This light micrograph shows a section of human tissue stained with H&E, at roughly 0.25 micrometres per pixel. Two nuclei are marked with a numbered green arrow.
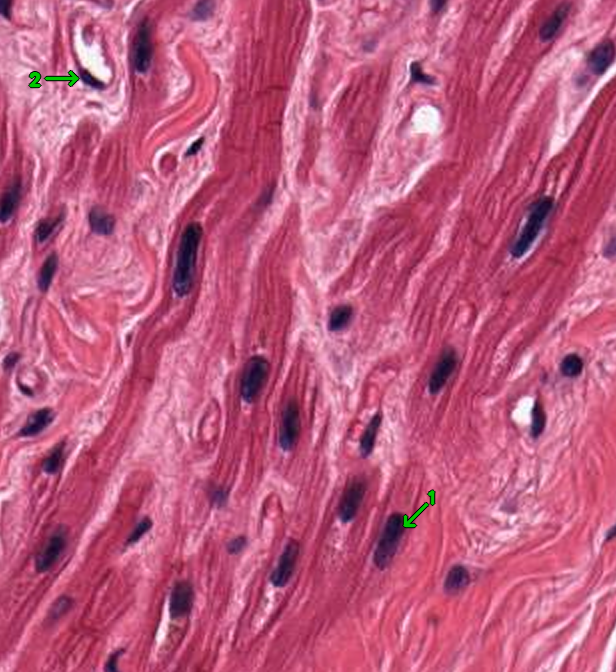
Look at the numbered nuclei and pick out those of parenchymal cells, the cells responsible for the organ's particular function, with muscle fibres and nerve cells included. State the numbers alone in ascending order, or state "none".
1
